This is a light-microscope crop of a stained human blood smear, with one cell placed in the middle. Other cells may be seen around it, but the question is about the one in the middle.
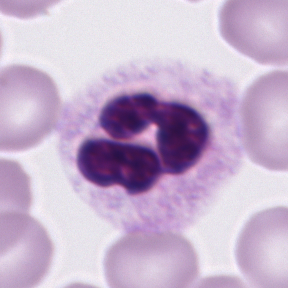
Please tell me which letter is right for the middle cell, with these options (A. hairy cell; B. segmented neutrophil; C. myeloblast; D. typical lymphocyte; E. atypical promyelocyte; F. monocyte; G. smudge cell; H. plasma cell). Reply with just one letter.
B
